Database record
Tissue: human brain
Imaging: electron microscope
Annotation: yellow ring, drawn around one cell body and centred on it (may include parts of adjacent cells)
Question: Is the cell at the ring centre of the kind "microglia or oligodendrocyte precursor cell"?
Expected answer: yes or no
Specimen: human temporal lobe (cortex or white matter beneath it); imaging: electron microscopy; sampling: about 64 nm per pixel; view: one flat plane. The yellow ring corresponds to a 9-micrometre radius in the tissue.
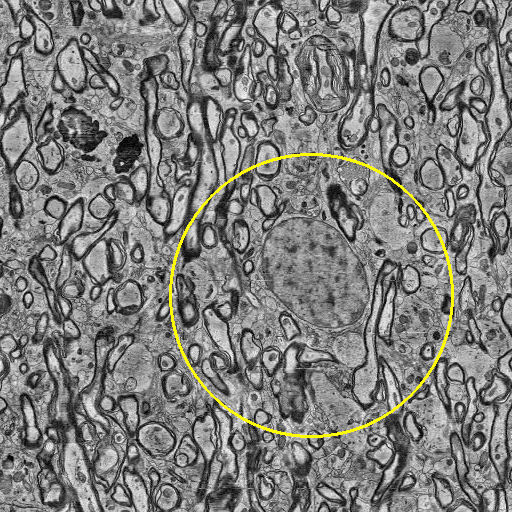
yes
